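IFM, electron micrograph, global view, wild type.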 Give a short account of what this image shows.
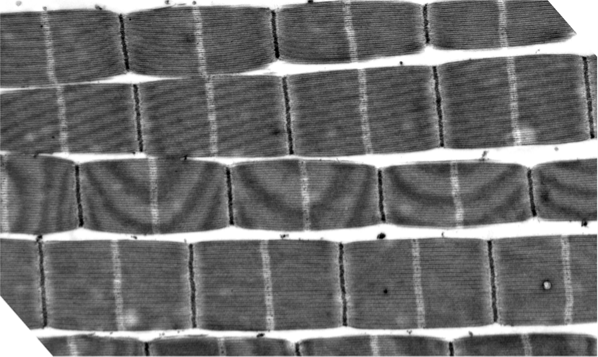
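Longitudinal section of flight muscle showing several parallel myofibrils separated by pale spaces. Each myofibril is a dense, finely striated bundle of straight filaments running lengthwise. Midway between Z-discs a narrow pale transverse band crosses each sarcomere. Filament arrays appear uniform, with faint moiré-like curved patterns from section plane. Edges of myofibrils are straight and well defined.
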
